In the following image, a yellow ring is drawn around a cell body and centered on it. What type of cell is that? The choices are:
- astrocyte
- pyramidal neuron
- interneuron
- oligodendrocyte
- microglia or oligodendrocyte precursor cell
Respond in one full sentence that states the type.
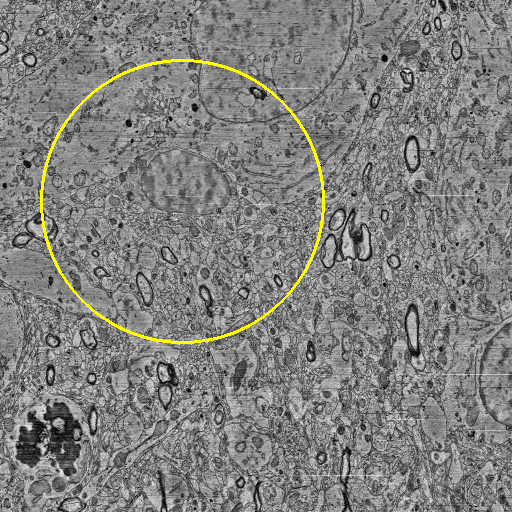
The cell at the center of the yellow ring in the image is an oligodendrocyte.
